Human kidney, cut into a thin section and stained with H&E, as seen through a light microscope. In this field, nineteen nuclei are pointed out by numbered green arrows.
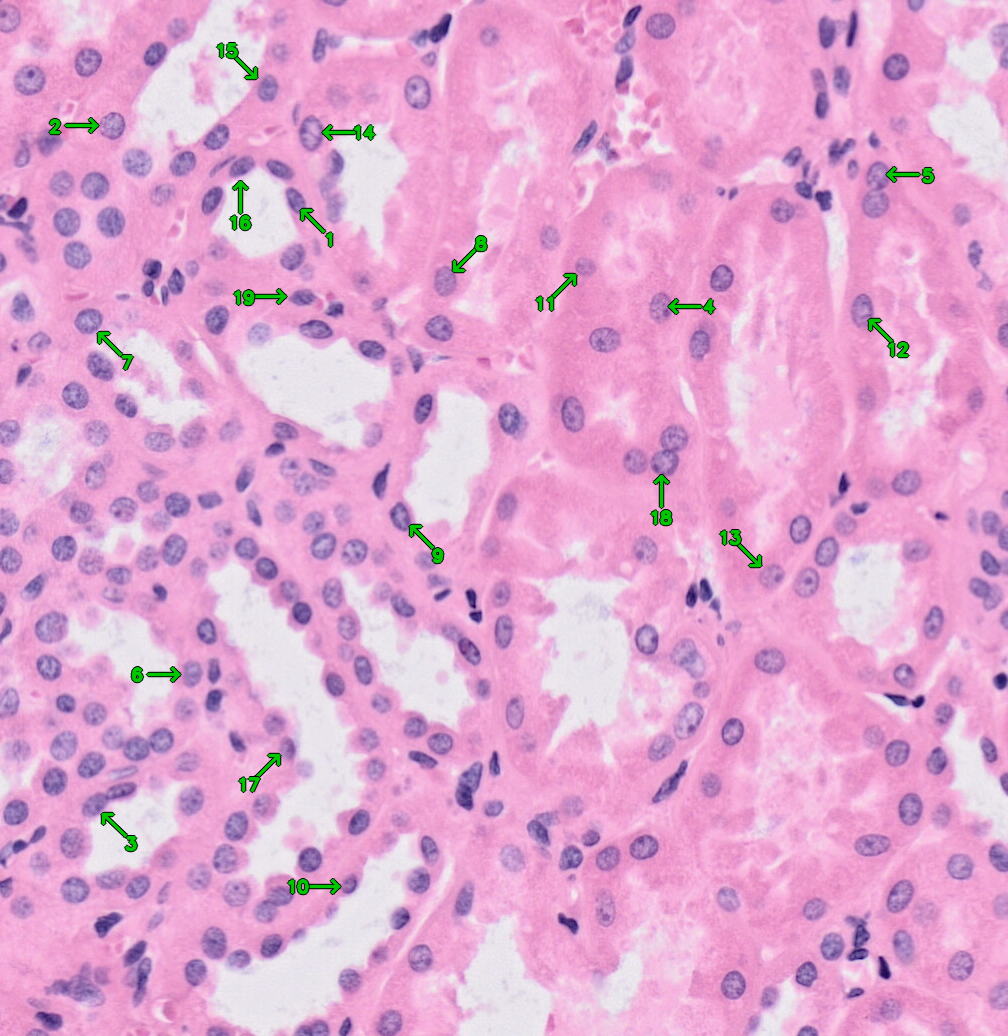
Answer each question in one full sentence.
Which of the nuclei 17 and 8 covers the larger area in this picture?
At about 1.5 times the area of nucleus 17, nucleus 8 is the larger of the two.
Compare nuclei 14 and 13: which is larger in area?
Of the two, number 14 is bigger and takes up about 1.5 times the area of number 13.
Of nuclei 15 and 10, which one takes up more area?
Nucleus 15 is larger, with an area about 1.5 times that of nucleus 10.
